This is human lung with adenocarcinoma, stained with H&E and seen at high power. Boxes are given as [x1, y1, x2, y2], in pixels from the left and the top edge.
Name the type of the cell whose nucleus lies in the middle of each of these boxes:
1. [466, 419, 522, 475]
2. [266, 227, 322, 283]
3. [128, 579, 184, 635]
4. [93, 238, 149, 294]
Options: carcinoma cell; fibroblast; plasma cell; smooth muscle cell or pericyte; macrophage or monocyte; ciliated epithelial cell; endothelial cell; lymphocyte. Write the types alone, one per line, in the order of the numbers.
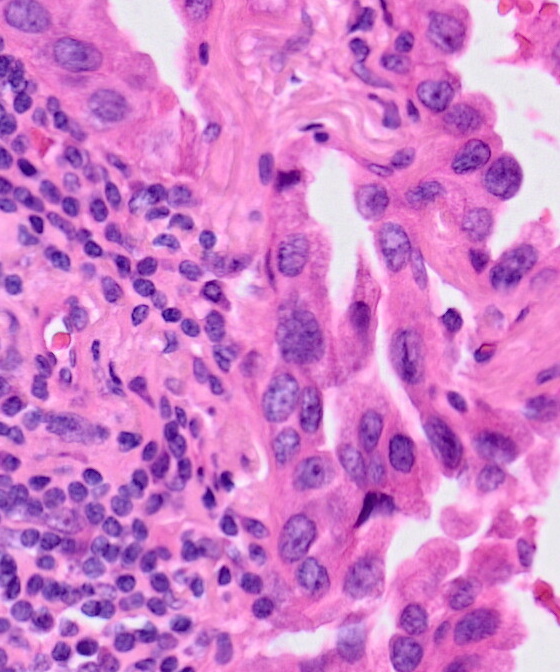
carcinoma cell
carcinoma cell
lymphocyte
lymphocyte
